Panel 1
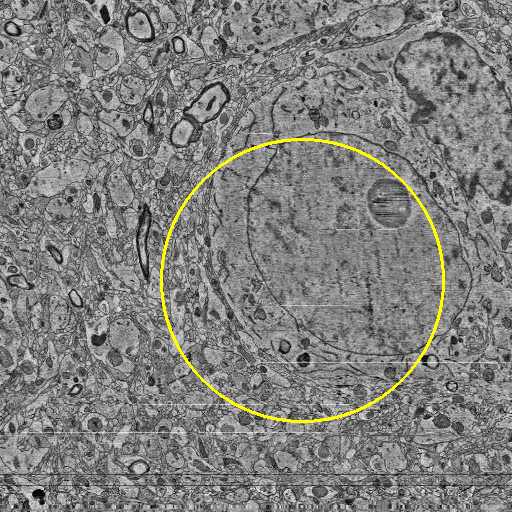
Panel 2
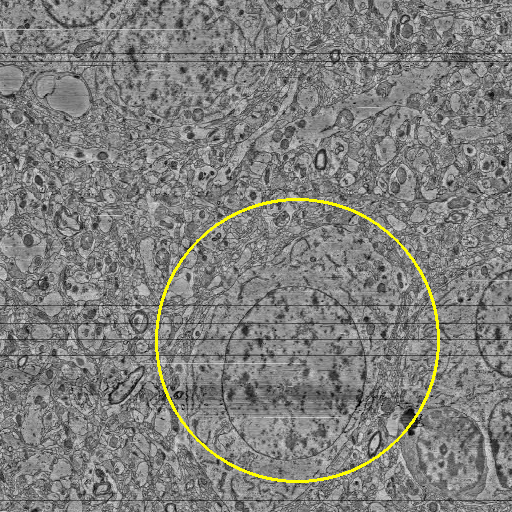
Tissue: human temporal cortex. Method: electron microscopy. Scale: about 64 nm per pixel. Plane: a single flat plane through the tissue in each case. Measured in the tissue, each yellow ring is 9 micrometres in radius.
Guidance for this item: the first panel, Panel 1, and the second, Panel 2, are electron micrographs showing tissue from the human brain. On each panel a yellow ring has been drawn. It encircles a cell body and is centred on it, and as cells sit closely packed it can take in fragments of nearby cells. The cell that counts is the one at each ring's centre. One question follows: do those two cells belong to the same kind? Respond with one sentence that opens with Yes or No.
Yes, the cells at the ring centres in Panel 1 and Panel 2 are of one kind.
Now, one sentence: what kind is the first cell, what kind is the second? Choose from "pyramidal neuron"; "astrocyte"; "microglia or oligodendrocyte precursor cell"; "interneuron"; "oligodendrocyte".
The cell at the ring centre is a pyramidal neuron in both pictures.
